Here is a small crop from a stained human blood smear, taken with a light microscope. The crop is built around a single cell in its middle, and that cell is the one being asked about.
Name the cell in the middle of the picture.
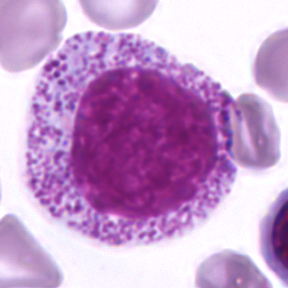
myelocyte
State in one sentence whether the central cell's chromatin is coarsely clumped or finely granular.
Check the chromatin: it is fine and not coarsely clumped.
